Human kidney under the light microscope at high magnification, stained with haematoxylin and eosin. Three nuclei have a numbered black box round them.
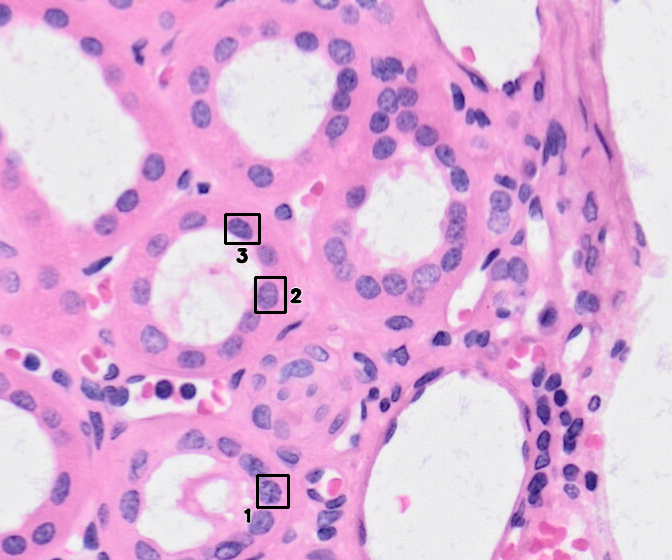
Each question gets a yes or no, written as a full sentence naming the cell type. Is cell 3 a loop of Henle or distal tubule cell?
Yes, within this section, cell number 3 is a loop of Henle or distal tubule cell.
